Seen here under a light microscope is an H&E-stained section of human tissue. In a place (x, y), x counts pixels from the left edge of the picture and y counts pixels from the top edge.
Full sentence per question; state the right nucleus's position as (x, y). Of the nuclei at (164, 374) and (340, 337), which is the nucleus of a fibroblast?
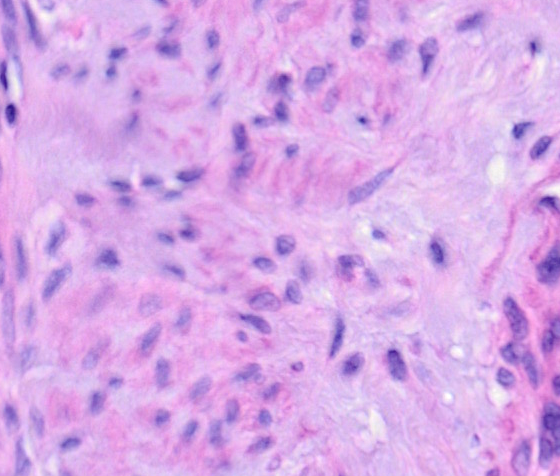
The nucleus of the pair that lies within a fibroblast is at (340, 337).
